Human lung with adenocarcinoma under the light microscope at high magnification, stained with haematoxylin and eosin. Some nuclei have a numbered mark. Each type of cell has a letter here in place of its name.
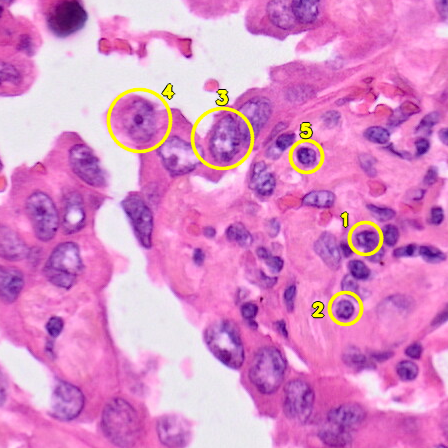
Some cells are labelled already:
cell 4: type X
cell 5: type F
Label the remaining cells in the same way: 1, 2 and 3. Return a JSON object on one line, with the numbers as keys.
{"1": "type F", "2": "type F", "3": "type X"}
